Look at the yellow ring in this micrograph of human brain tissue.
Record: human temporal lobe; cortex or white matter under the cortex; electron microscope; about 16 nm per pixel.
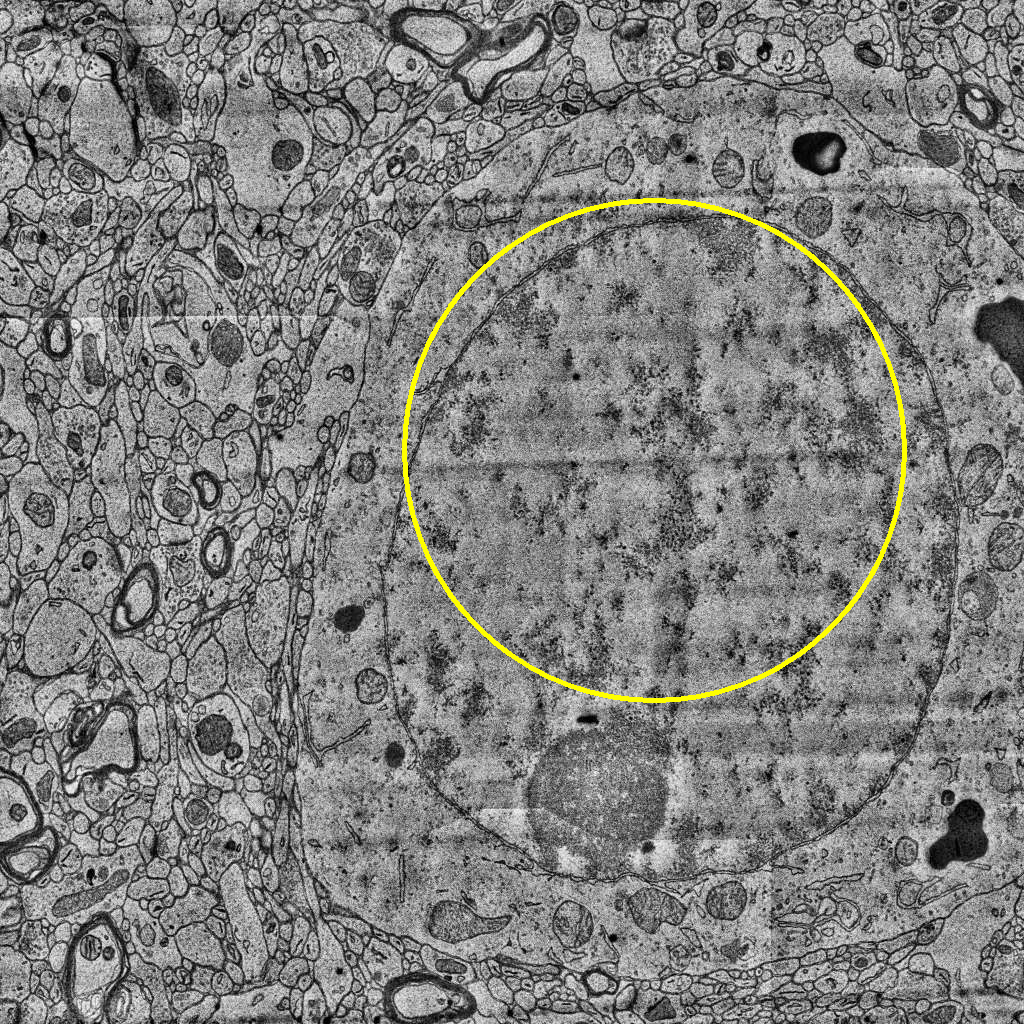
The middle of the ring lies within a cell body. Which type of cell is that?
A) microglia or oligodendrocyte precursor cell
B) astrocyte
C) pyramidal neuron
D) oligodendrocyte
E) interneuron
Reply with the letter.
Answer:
C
